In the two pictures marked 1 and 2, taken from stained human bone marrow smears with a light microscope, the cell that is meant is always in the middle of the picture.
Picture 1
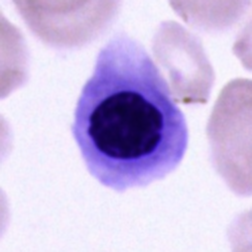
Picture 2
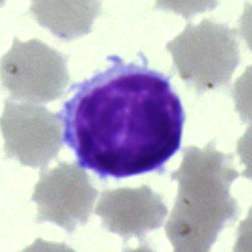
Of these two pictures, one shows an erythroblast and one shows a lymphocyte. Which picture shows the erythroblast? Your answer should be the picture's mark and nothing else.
1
